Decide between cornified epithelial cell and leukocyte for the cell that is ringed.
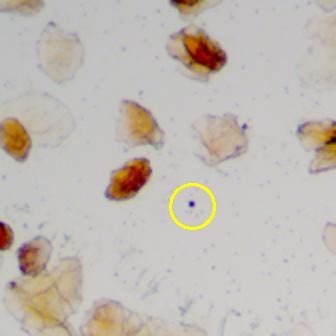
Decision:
I take the ringed cell for a leukocyte.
